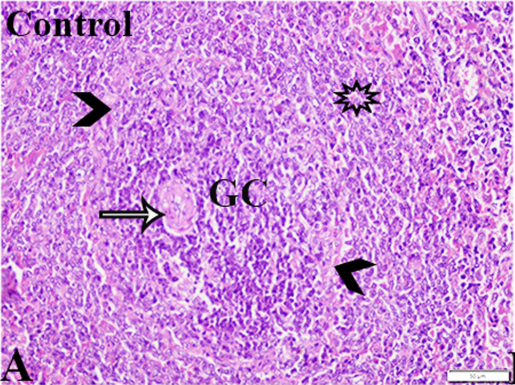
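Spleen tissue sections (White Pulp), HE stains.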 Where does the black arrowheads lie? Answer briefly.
Mantle zone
